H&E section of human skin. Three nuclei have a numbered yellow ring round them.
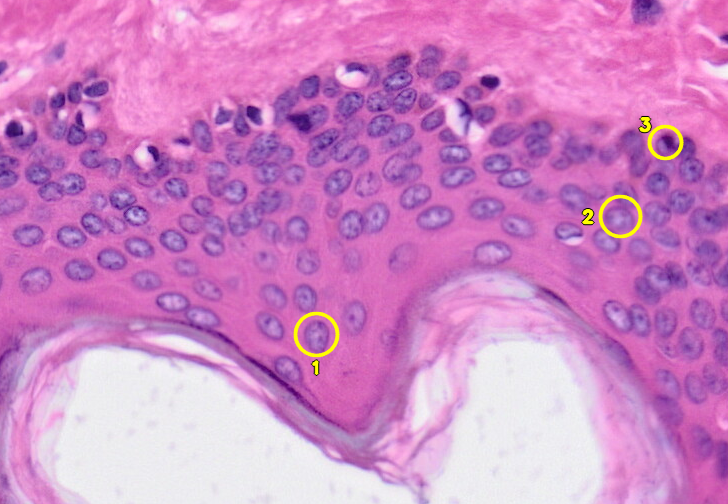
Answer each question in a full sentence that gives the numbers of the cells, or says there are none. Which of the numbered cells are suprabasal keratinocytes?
The cells marked by the numbers 1 and 2 are suprabasal keratinocytes.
